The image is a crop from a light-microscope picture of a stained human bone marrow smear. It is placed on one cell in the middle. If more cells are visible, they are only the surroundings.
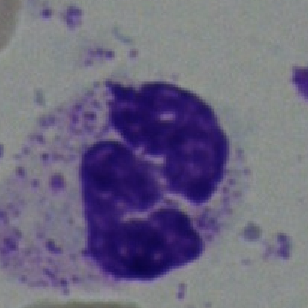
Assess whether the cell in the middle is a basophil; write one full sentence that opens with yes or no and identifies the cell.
Yes, in the middle of the crop is a basophil.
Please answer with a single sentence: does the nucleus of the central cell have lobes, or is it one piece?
Counting the nuclear lobes gives a total of at least two.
